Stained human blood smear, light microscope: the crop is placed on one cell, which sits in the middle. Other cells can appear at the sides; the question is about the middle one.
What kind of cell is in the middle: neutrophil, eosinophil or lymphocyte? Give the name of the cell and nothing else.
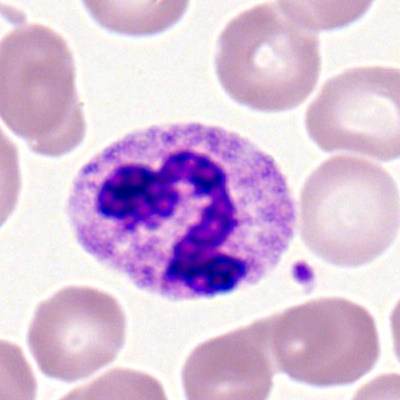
neutrophil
